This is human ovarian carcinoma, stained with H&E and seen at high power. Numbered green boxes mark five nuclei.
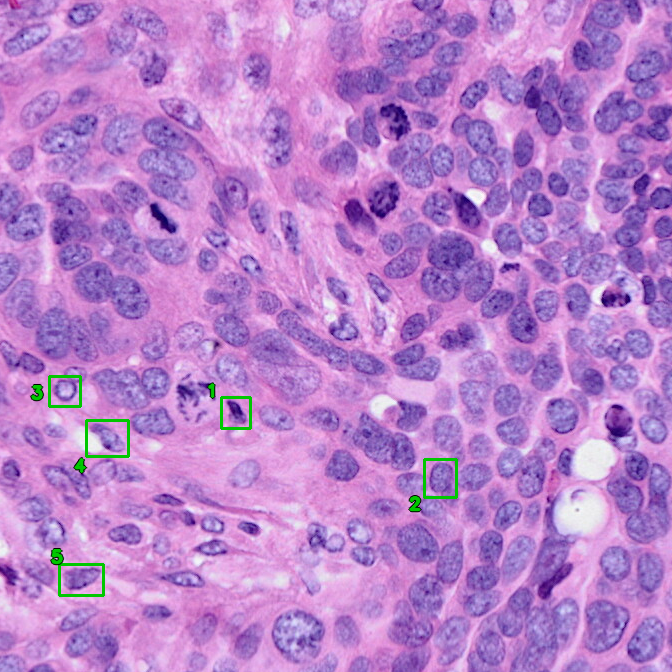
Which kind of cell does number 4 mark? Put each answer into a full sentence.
The marked nucleus 4 is that of a fibroblast.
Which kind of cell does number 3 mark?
The cell marked with the number 3 is a fibroblast.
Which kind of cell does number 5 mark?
The nucleus with number 5 is that of a macrophage or monocyte.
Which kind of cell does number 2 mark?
The numeral 2 marks a carcinoma cell in this section.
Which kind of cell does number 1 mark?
The cell marked with the number 1 is a lymphocyte.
